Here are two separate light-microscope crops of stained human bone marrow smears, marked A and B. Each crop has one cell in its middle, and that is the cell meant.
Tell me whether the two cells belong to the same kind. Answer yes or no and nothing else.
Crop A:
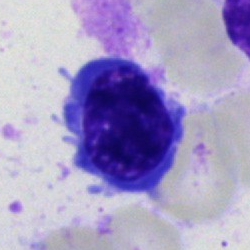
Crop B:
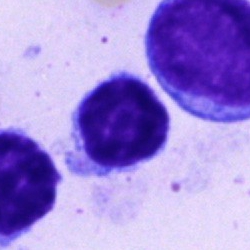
no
